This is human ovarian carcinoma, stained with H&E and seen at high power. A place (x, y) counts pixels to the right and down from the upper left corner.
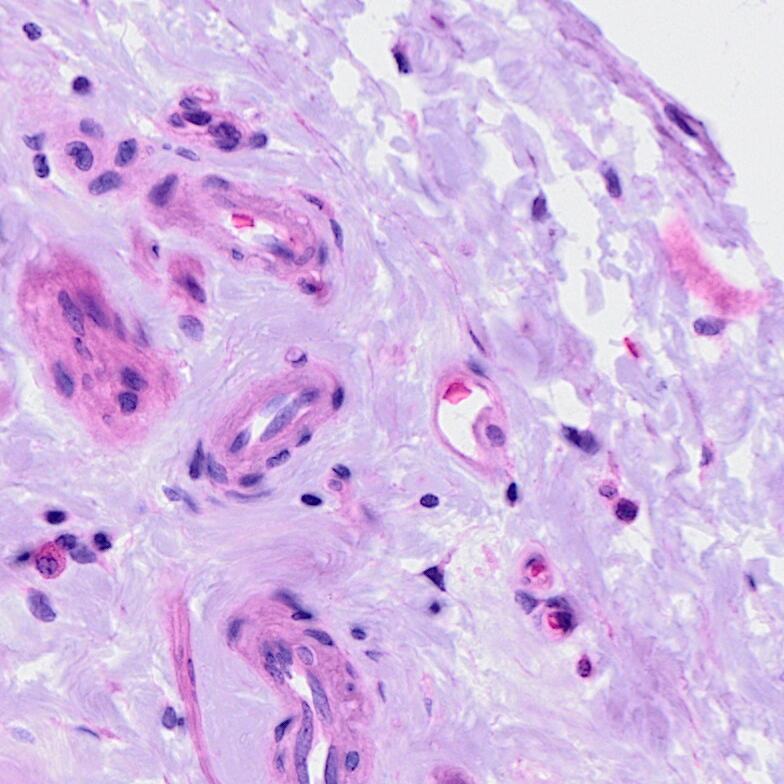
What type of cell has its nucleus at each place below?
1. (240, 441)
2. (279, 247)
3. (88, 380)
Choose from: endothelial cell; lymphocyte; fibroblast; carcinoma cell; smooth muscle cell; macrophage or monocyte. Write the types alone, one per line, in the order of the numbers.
endothelial cell
endothelial cell
smooth muscle cell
